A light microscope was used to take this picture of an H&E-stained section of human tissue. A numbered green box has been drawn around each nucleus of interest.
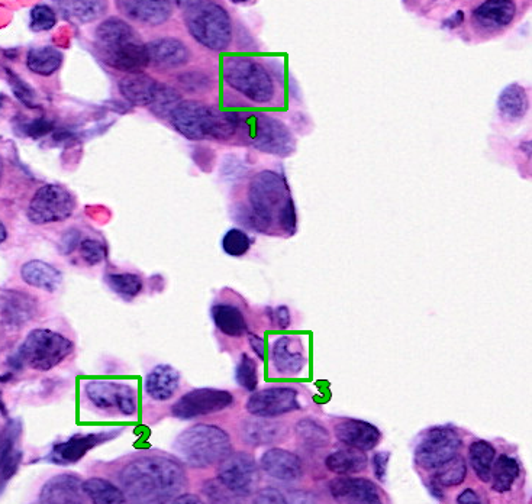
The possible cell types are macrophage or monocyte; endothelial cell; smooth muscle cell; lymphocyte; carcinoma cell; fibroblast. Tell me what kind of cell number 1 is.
carcinoma cell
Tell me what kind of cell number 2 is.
macrophage or monocyte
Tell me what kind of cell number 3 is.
macrophage or monocyte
